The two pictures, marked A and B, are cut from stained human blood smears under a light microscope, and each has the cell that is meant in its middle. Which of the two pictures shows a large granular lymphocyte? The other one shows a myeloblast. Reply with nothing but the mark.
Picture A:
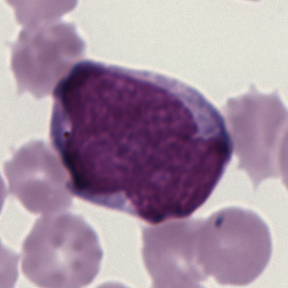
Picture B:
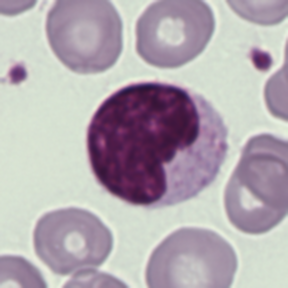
B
